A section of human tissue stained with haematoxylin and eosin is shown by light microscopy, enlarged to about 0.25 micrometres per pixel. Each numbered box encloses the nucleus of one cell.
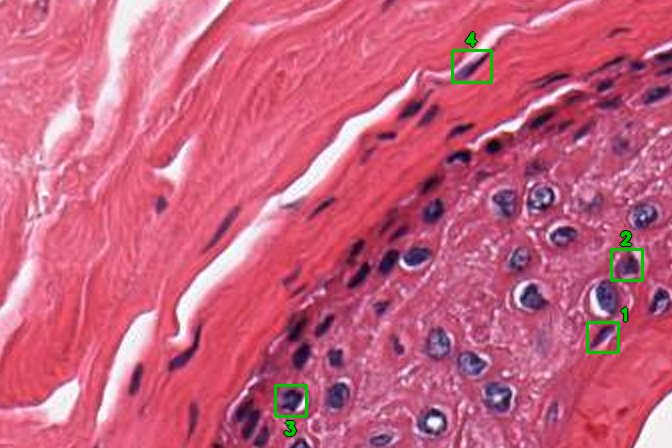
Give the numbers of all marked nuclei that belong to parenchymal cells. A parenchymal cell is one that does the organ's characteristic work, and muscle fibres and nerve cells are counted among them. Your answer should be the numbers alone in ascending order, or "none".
1, 2, 3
